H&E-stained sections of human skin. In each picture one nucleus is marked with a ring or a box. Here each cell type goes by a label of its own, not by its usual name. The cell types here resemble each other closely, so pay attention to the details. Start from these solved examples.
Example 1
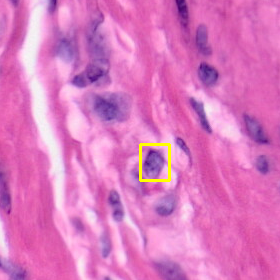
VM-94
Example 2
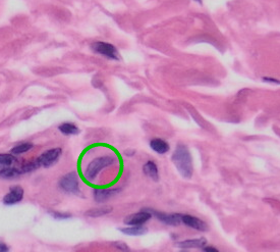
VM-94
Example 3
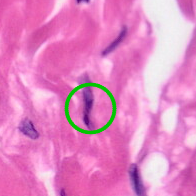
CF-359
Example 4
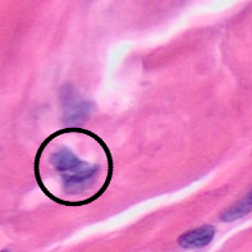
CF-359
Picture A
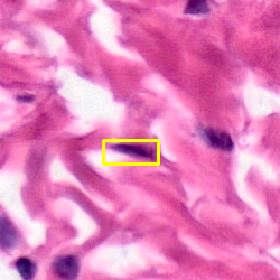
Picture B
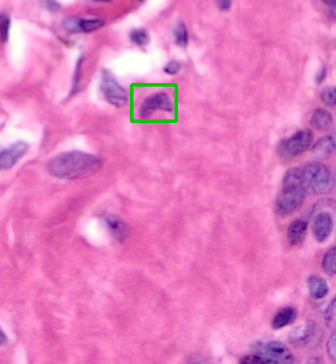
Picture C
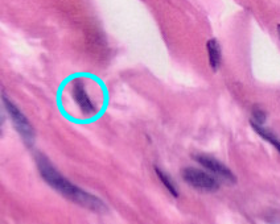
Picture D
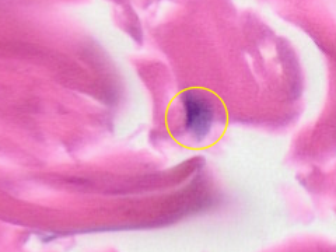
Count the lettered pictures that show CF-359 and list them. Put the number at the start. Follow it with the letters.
Count: 4 (A, B, C, D)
